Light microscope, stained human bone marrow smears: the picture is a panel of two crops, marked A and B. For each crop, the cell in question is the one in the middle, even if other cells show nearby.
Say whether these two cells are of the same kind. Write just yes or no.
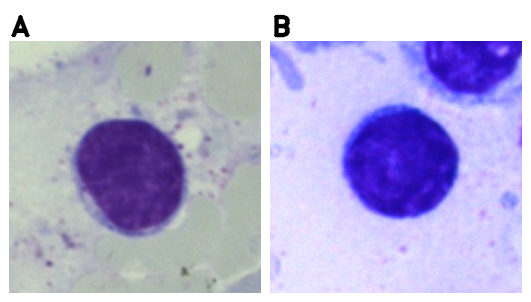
yes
